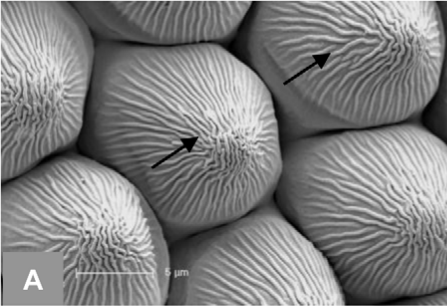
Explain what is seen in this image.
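This is a scanning electron view of the petal epidermis, showing rounded, dome-shaped epidermal cells packed closely side by side. Each cell bulges outward and its surface is covered with fine, thin ridges. The ridges run in parallel and converge toward the top of each dome, giving a combed or radiating pattern.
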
